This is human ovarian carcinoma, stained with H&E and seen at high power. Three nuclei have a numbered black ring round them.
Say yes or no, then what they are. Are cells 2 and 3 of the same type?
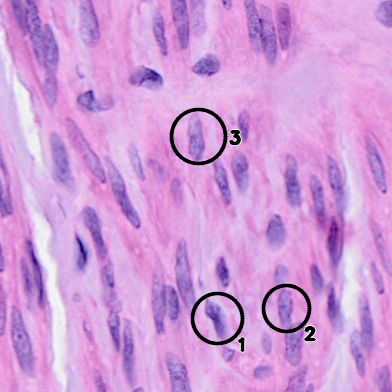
Yes, smooth muscle cells are what cells 2 and 3 both are.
